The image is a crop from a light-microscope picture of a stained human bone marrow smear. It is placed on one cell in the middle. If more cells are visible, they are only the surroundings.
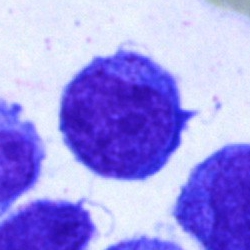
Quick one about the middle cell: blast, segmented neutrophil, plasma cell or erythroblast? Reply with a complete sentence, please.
Located at the centre of the crop is a blast.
